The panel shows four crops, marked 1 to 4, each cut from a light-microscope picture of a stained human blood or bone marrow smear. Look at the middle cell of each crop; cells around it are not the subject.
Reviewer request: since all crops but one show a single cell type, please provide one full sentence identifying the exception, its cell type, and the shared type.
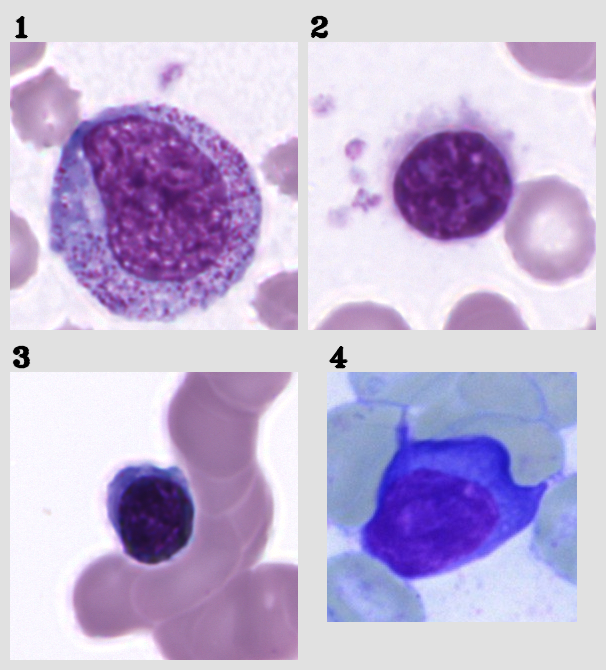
The crops all show plasma cells, with the exception of crop 1, which shows a promyelocyte.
